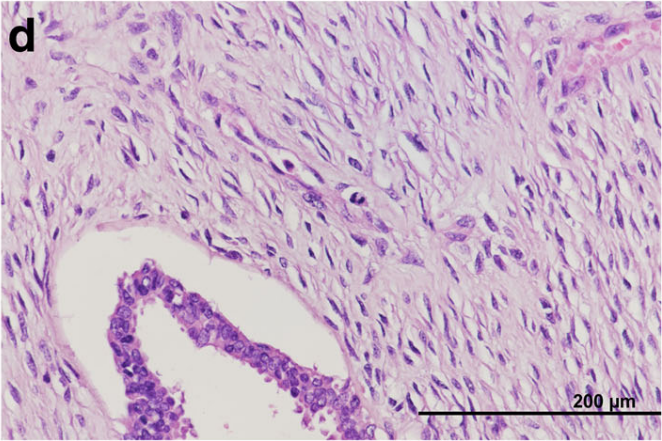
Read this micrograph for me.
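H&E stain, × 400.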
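This is cellular tumor stroma seen at high power, with a small duct-like space lower left. The stromal cells are spindle-shaped and lie in loose streams within a pale pink background. Their nuclei are elongated to oval, and many are enlarged, darkly stained and uneven in size and outline, which is the atypia to look for. Around the space, the lining is made of several layers of crowded epithelial cells with rounded purple nuclei, forming a curved tongue projecting into the clear lumen. Small vessels with red cells appear at the upper right edge.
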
